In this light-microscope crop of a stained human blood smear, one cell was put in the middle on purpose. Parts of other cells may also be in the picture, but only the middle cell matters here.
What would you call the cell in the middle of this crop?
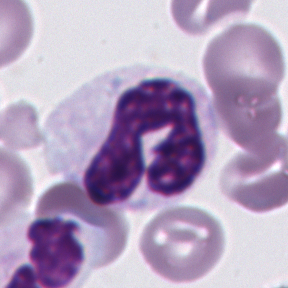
band neutrophil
